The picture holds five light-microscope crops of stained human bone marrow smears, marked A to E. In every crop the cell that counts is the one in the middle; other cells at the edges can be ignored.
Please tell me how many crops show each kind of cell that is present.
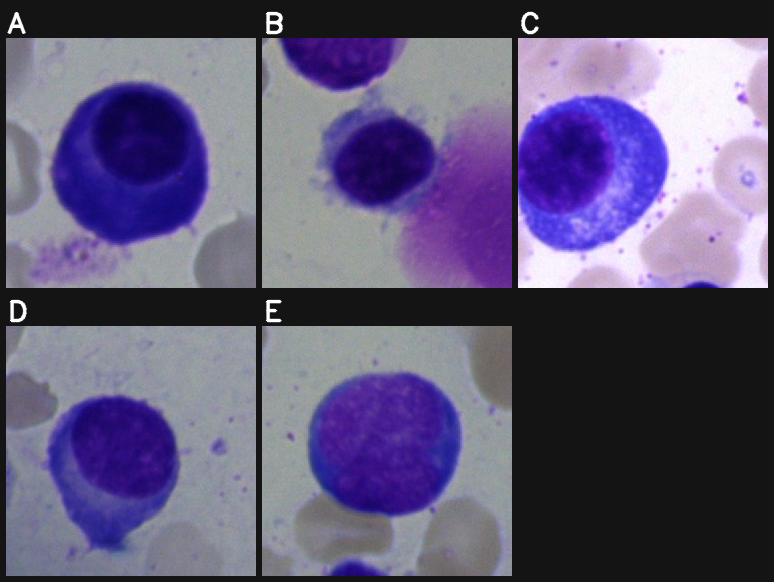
plasma cell: 3
hairy cell: 1
blast: 1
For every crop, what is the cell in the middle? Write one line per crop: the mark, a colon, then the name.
A: plasma cell
B: hairy cell
C: plasma cell
D: plasma cell
E: blast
